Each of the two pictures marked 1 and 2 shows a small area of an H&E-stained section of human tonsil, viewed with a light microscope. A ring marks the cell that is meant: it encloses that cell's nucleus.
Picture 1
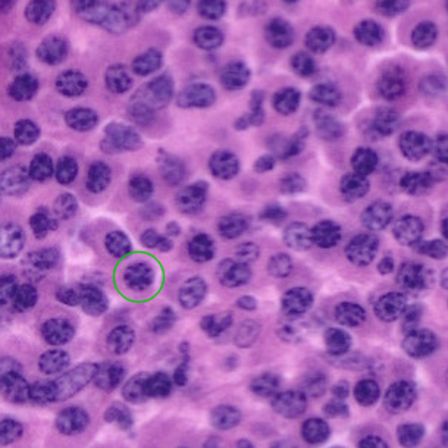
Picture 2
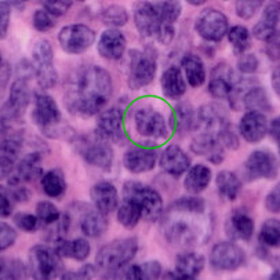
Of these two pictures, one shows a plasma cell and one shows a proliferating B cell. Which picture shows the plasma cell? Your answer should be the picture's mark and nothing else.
1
